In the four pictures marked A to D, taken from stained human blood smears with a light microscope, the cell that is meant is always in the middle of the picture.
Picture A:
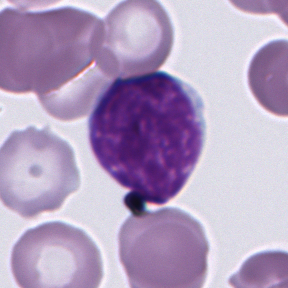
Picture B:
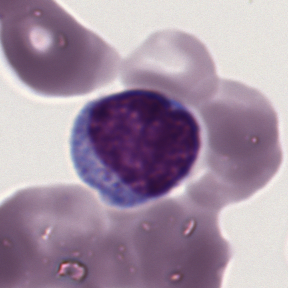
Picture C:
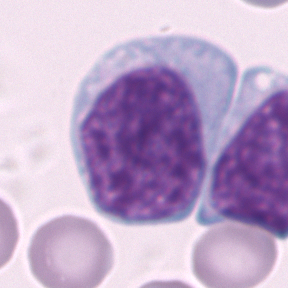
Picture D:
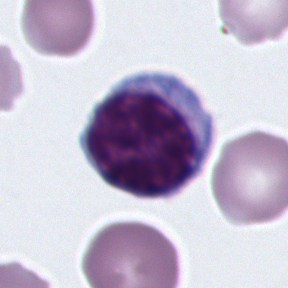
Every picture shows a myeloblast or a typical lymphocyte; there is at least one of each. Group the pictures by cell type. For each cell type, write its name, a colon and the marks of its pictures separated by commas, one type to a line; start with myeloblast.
myeloblast: C
typical lymphocyte: A, B, D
